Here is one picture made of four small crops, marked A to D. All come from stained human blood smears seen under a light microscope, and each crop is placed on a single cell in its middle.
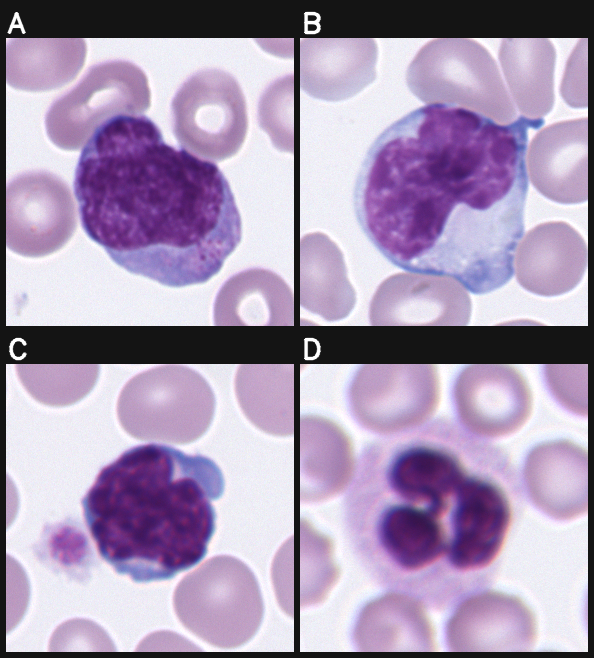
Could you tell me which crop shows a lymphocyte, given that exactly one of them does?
C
